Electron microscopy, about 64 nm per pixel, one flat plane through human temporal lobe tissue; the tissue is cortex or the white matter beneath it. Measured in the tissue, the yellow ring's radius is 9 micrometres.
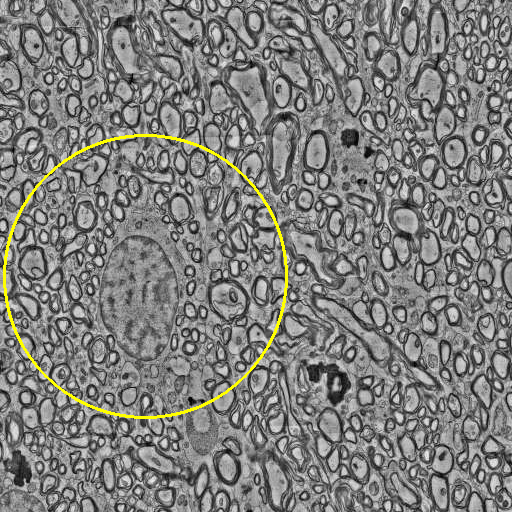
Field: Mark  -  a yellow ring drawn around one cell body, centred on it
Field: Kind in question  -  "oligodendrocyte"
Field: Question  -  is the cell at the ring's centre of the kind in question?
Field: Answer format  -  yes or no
yes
